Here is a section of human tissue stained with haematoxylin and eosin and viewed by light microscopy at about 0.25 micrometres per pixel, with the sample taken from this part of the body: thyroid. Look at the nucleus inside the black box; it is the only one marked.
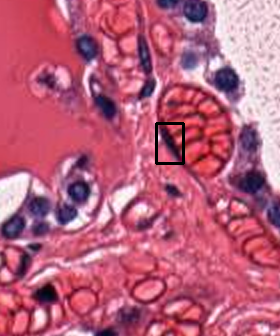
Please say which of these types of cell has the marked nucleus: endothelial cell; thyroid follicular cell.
endothelial cell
